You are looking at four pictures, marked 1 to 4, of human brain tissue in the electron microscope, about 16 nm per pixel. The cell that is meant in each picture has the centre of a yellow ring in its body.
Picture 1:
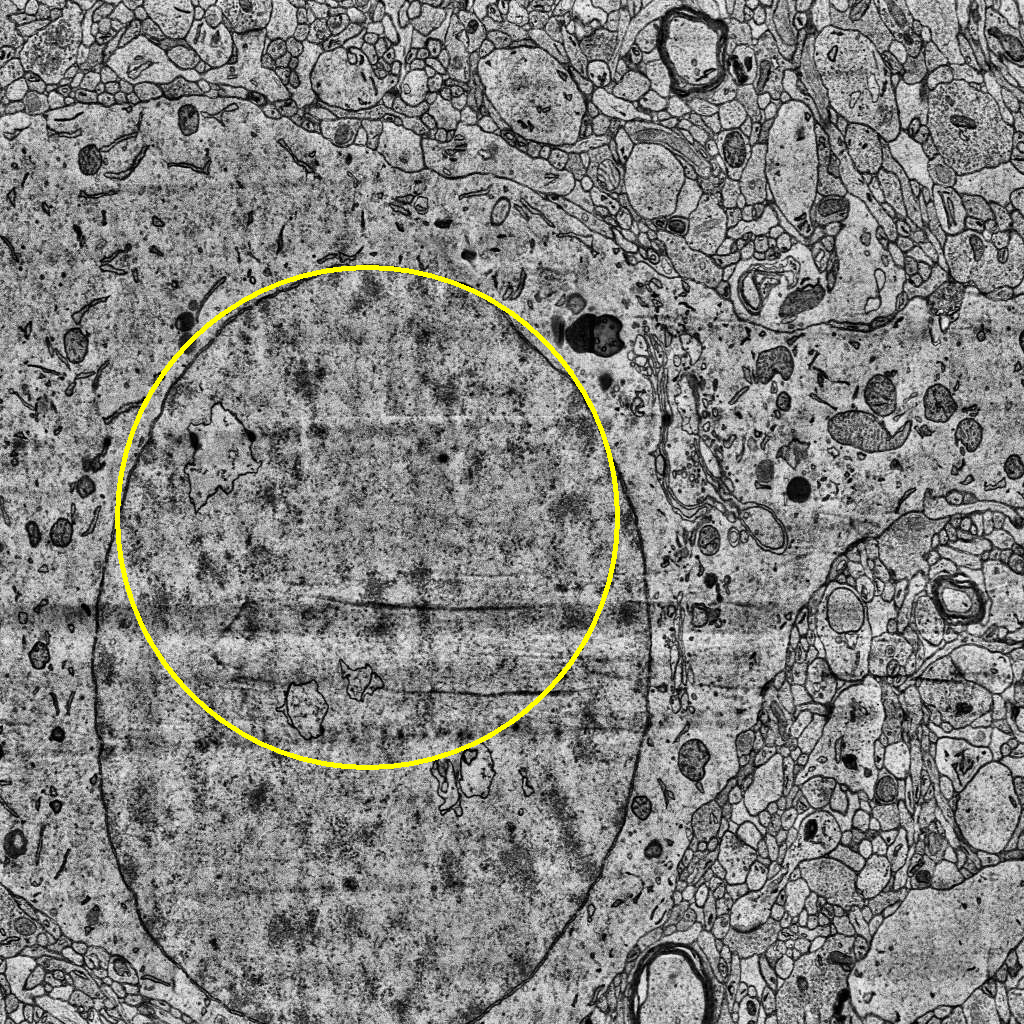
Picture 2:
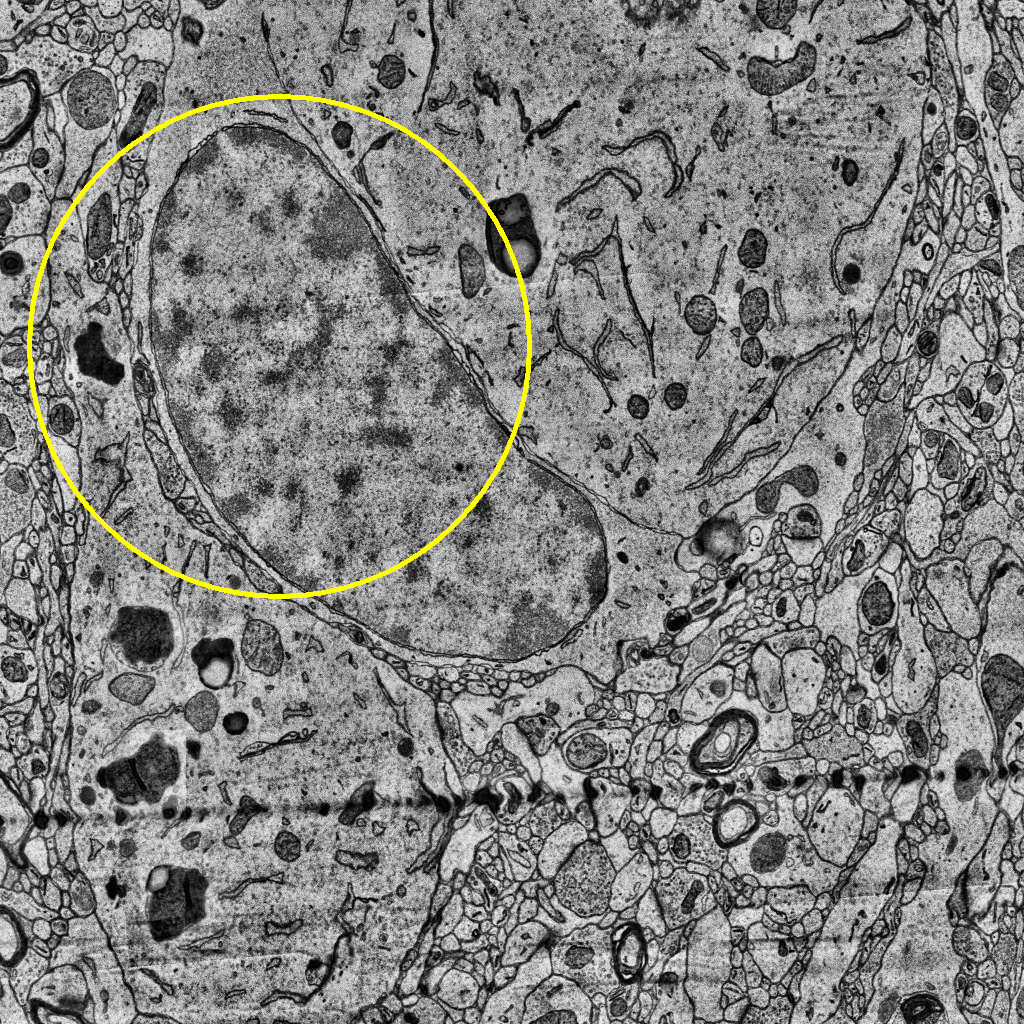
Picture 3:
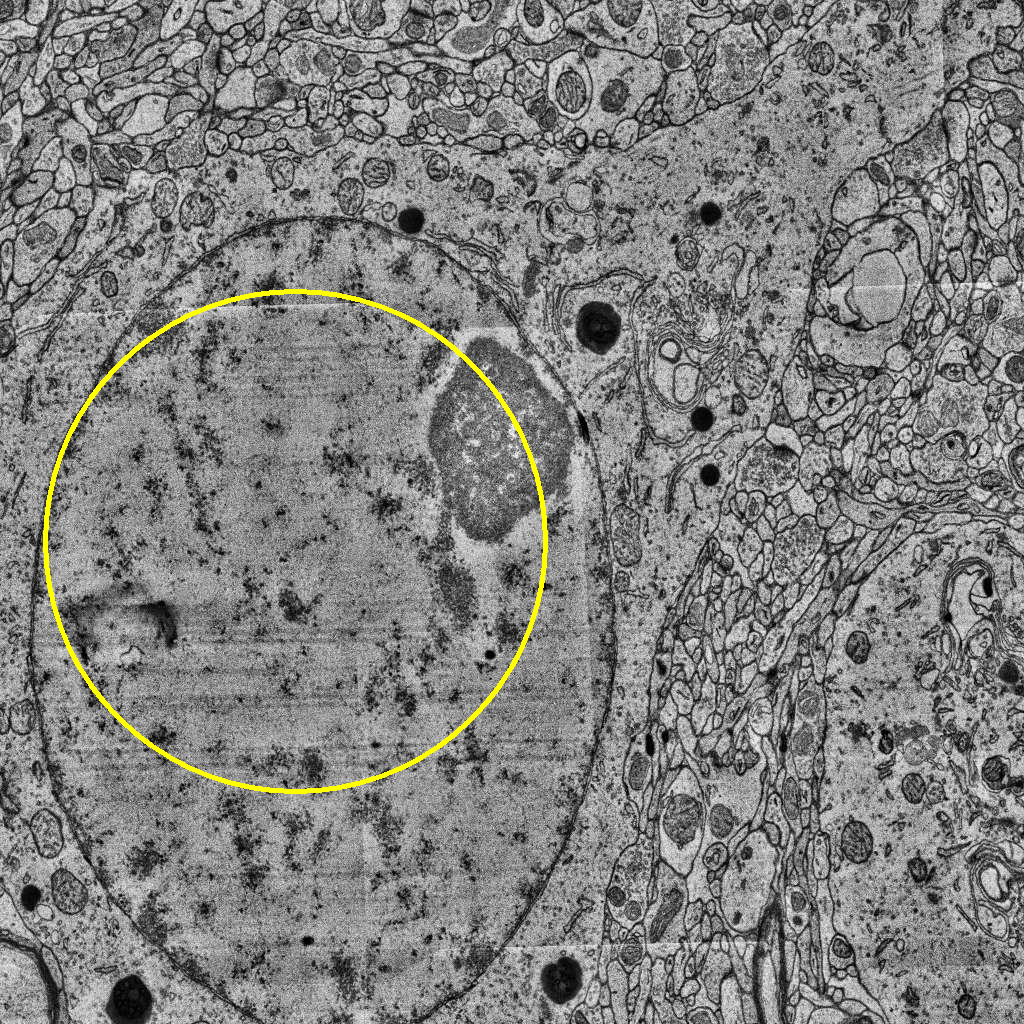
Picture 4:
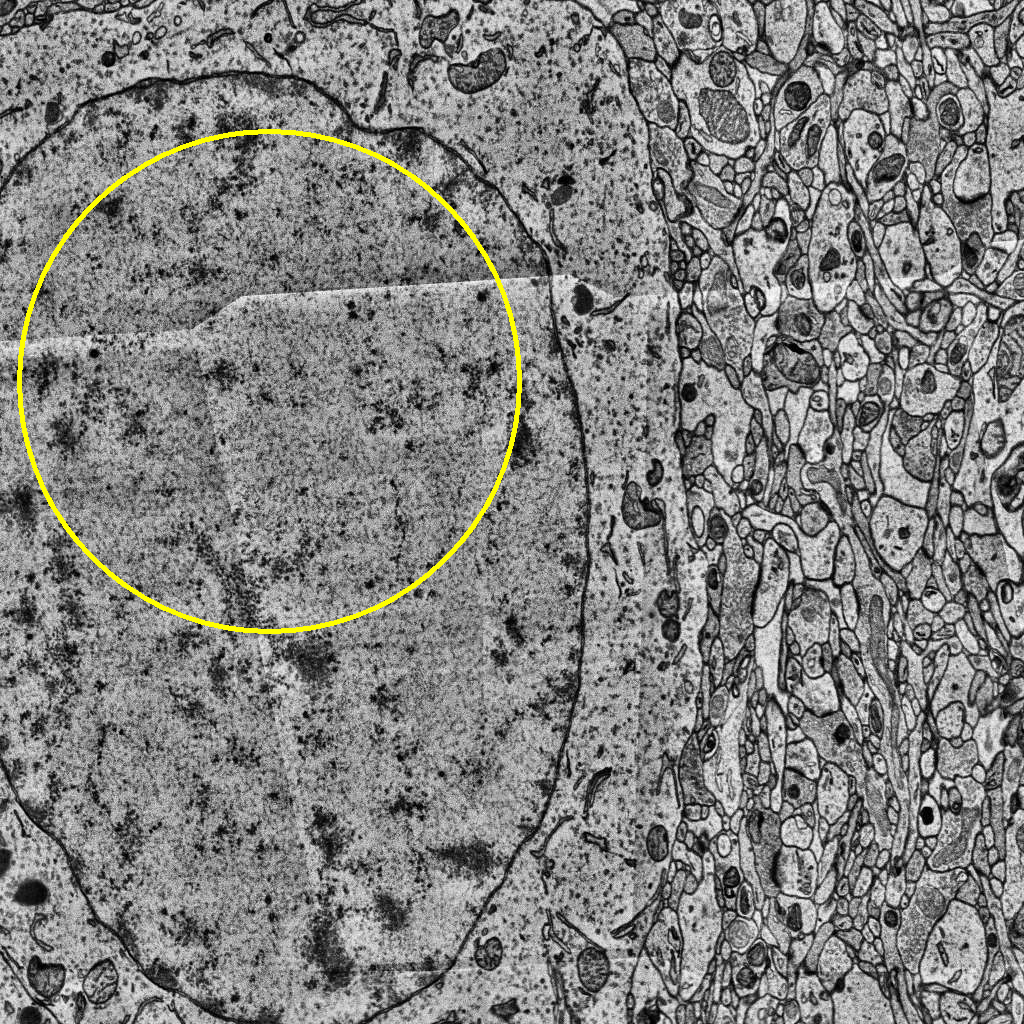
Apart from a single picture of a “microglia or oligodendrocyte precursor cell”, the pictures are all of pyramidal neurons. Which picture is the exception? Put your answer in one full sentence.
The cell in picture 2 is the “microglia or oligodendrocyte precursor cell”.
